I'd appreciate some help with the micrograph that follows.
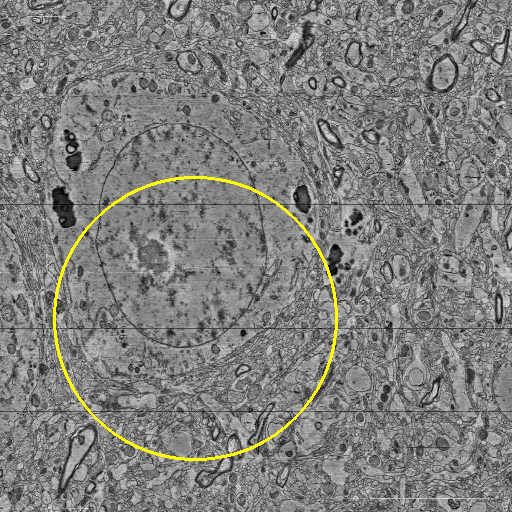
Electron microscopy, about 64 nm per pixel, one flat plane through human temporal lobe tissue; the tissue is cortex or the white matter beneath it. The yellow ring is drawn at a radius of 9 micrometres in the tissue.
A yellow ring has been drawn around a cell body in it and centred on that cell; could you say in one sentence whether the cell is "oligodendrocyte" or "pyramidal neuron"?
It is a pyramidal neuron at the centre of the ring.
